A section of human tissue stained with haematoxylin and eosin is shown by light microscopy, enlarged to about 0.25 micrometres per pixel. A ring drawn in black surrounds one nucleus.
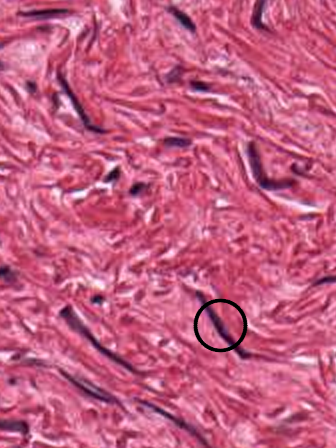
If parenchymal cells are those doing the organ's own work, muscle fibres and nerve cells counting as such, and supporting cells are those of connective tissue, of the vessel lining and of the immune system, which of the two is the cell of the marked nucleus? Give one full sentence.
The indicated nucleus in this section belongs to a supporting cell.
